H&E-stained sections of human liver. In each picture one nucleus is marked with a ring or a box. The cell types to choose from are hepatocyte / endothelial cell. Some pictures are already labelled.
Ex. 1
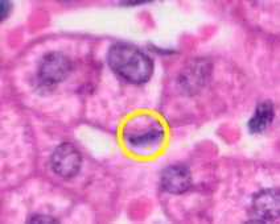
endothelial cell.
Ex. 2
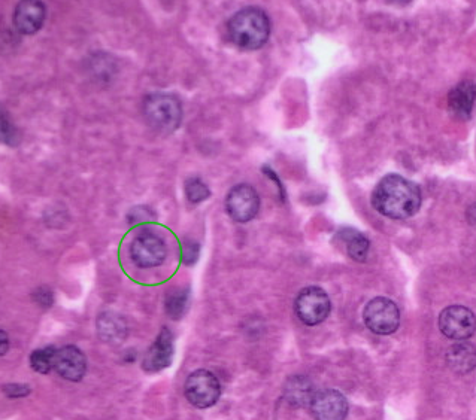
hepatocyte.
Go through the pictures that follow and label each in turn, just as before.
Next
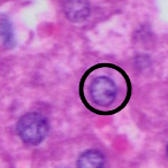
hepatocyte.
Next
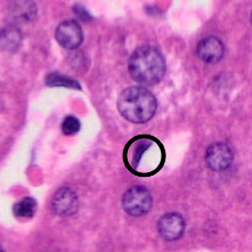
endothelial cell.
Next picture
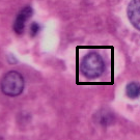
hepatocyte.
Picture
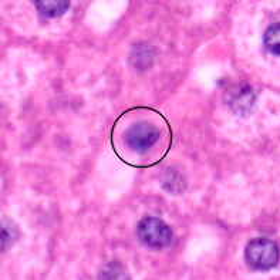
endothelial cell.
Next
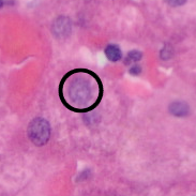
hepatocyte.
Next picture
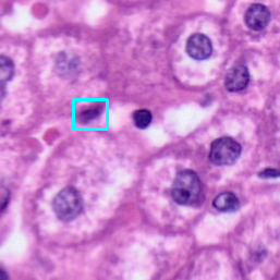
endothelial cell.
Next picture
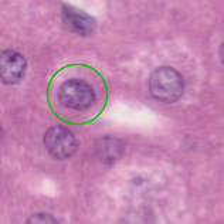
hepatocyte.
